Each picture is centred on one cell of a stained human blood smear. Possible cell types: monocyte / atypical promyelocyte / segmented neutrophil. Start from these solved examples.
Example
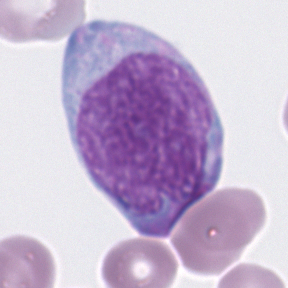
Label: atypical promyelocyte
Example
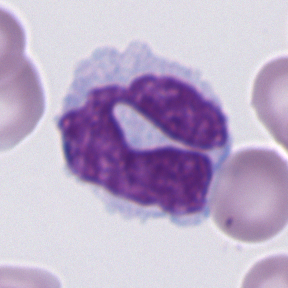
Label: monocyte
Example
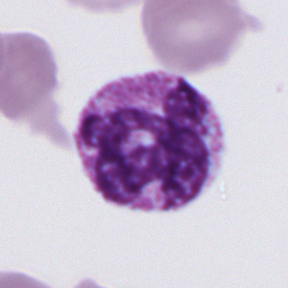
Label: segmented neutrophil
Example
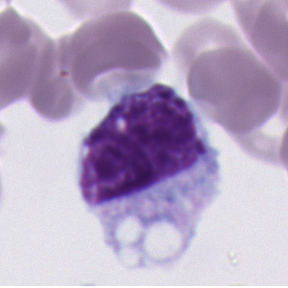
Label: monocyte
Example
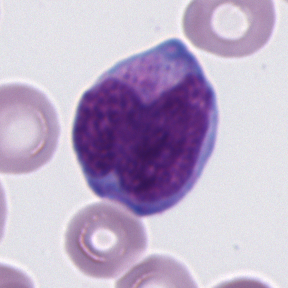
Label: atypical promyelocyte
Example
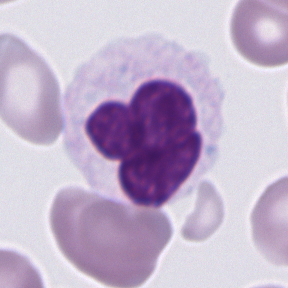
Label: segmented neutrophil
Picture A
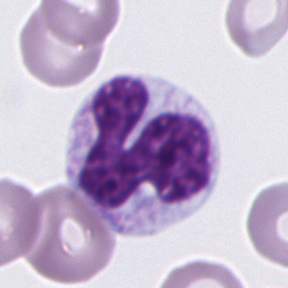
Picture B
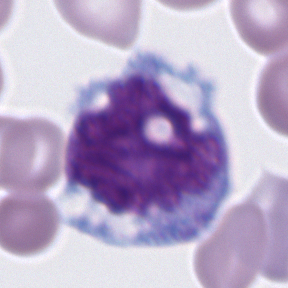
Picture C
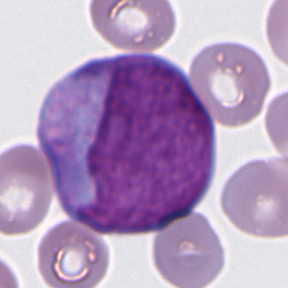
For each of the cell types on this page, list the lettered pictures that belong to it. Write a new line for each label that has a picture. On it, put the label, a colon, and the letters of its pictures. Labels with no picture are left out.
monocyte: B
atypical promyelocyte: C
segmented neutrophil: A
